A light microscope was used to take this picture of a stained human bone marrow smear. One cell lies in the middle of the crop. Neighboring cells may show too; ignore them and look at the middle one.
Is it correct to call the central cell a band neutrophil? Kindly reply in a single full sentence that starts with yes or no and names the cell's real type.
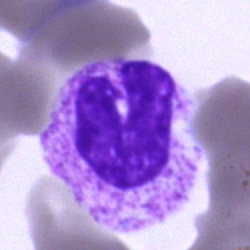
Yes, the cell that the crop is centred on is a band neutrophil.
